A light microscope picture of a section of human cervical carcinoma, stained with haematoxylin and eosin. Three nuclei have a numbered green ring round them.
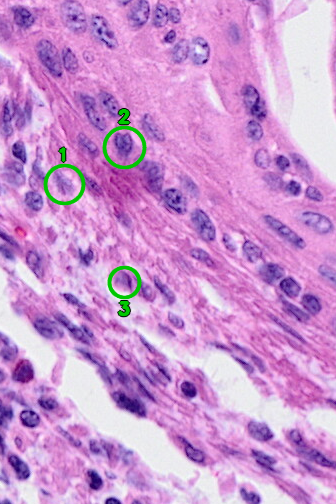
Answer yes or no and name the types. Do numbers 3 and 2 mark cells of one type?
No, unlike cell 3, which is a fibroblast, cell 2 is a squamous carcinoma cell.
